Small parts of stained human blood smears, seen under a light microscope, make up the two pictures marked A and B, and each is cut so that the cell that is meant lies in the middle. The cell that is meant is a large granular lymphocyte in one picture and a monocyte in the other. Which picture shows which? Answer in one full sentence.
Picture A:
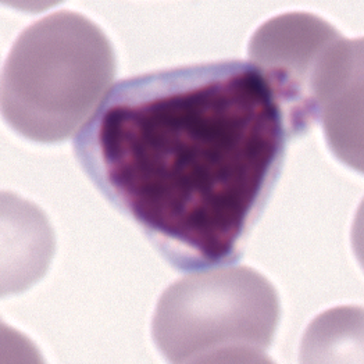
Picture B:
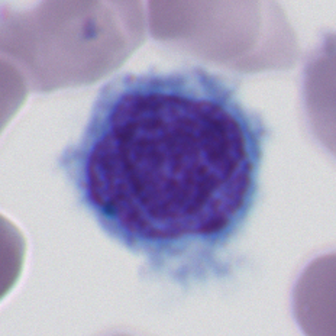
Picture A is of a large granular lymphocyte, and picture B is of a monocyte.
